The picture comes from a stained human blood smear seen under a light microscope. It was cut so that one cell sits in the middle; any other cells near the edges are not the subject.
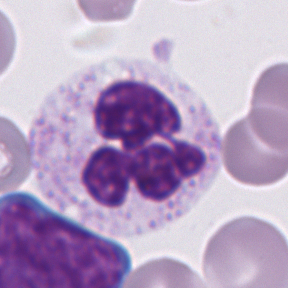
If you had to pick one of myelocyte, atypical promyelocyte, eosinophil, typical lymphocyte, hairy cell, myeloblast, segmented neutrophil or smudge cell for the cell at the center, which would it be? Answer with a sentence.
In short, the cell at the center is a segmented neutrophil.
